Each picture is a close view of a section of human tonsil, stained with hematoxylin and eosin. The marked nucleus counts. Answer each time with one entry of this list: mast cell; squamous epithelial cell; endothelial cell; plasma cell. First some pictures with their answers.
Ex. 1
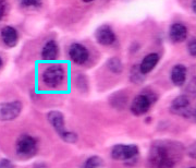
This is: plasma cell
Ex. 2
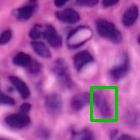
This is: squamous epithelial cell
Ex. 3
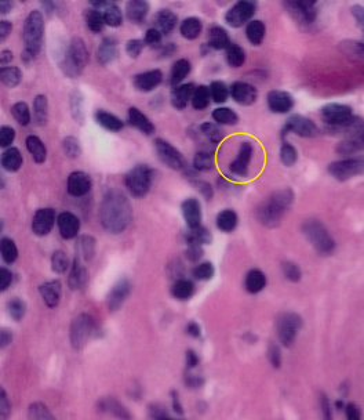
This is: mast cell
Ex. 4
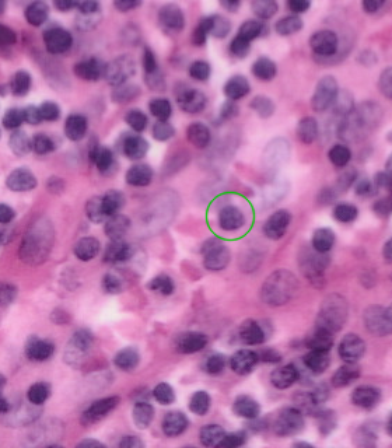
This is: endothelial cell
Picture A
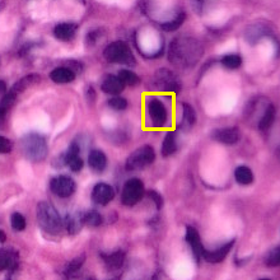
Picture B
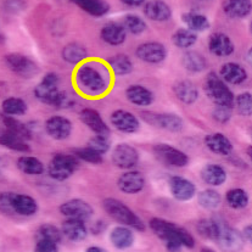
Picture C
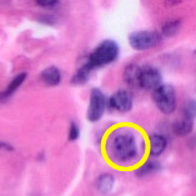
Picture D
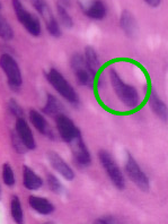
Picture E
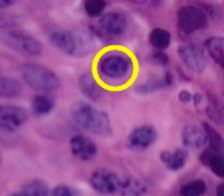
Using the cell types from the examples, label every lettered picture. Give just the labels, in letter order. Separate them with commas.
squamous epithelial cell, plasma cell, plasma cell, squamous epithelial cell, plasma cell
